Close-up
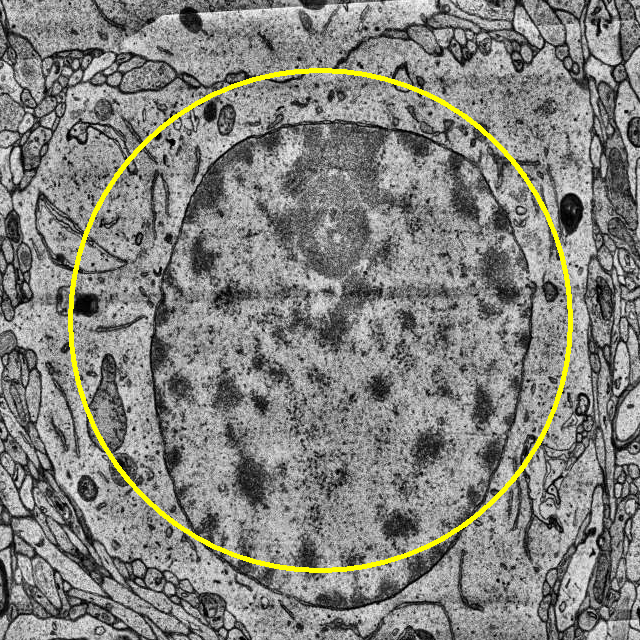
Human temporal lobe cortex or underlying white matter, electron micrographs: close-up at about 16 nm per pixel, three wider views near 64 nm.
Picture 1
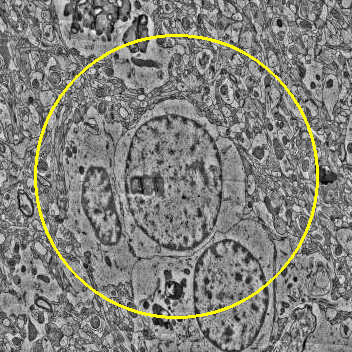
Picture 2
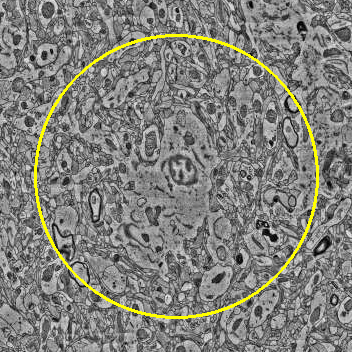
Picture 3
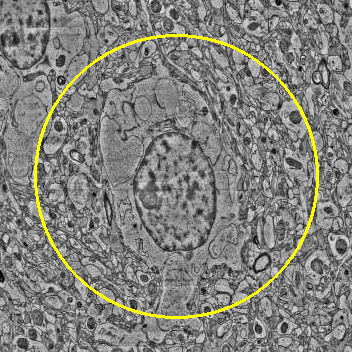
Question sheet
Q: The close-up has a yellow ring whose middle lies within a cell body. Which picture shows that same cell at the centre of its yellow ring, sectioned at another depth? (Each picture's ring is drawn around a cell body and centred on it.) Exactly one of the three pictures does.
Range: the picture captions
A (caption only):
Picture 2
